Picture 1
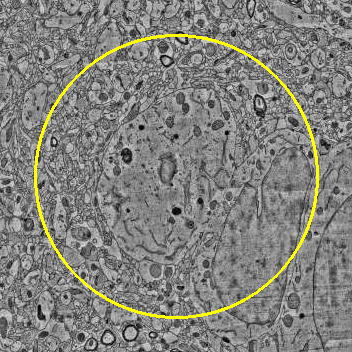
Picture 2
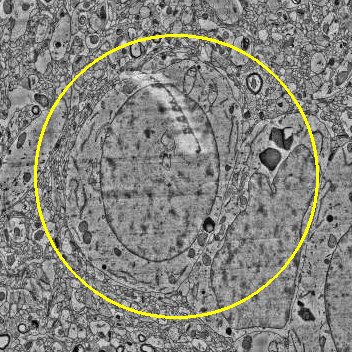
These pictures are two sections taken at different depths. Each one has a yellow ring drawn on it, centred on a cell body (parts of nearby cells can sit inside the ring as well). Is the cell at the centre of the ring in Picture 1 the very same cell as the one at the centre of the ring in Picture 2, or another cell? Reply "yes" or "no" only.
yes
